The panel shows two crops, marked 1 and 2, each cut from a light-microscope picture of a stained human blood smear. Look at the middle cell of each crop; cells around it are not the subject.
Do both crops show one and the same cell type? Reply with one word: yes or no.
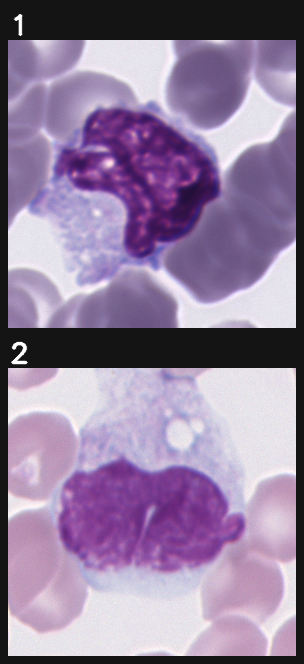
yes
